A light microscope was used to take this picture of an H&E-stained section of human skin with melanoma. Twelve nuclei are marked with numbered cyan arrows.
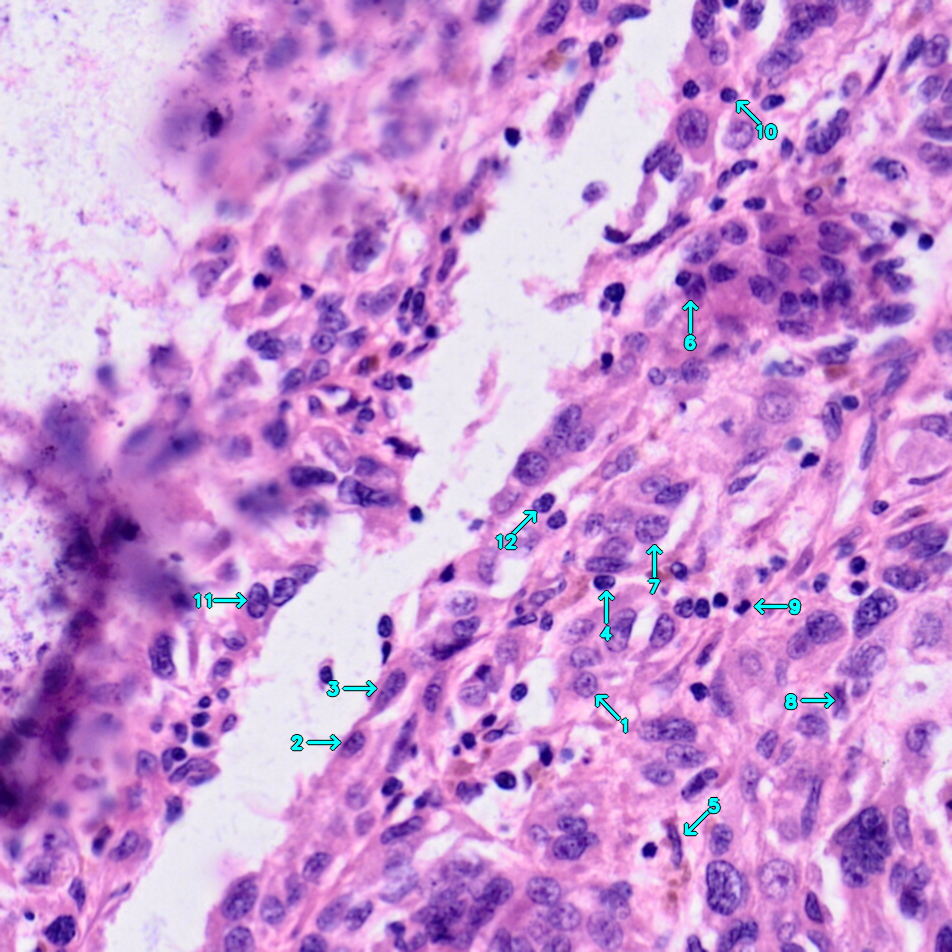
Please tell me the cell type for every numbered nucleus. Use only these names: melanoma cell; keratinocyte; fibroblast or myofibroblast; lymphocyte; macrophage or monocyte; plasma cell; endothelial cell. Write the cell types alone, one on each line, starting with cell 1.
melanoma cell
melanoma cell
melanoma cell
lymphocyte
macrophage or monocyte
melanoma cell
melanoma cell
melanoma cell
lymphocyte
lymphocyte
melanoma cell
lymphocyte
